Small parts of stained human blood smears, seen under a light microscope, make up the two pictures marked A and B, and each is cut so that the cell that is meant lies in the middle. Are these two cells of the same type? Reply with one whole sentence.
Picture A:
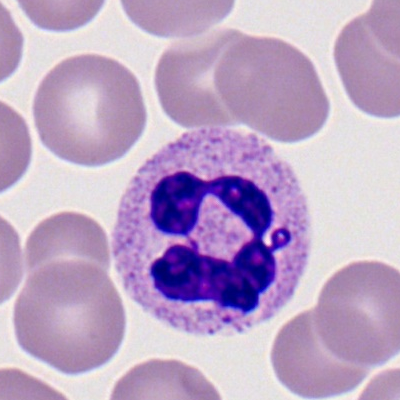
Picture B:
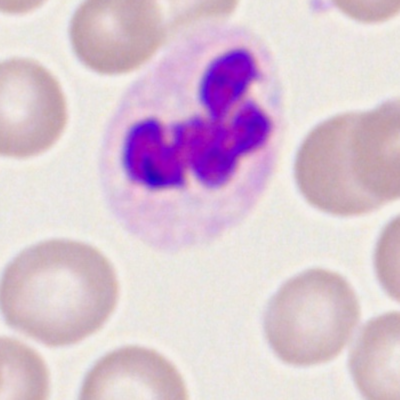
Yes, both cells are segmented neutrophils.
